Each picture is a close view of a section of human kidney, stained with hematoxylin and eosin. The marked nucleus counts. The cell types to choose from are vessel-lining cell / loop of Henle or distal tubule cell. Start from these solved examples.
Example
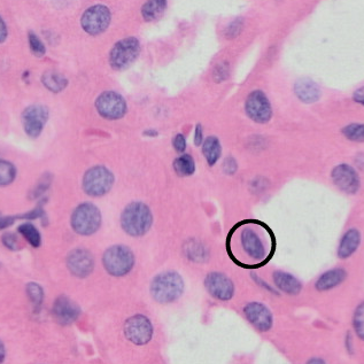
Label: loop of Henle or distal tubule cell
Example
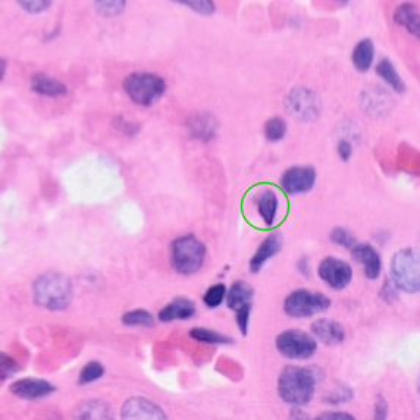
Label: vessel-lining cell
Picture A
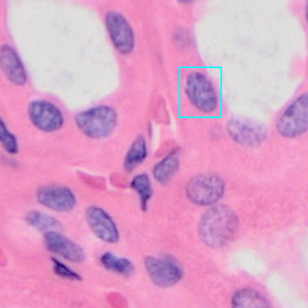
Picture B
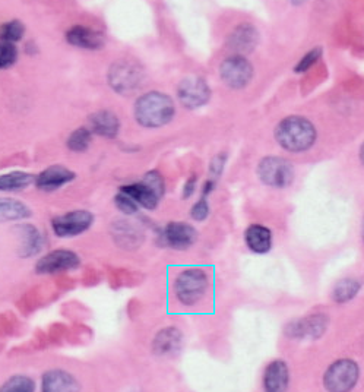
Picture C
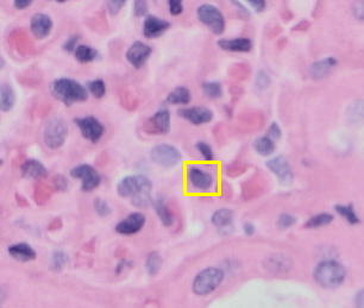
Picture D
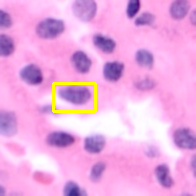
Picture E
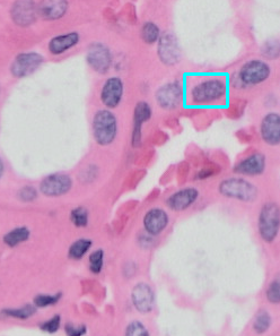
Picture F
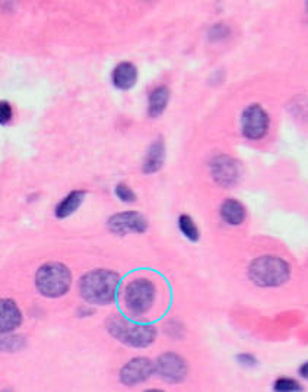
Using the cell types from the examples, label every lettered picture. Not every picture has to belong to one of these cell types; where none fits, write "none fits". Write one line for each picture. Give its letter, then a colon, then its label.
A: loop of Henle or distal tubule cell
B: loop of Henle or distal tubule cell
C: vessel-lining cell
D: loop of Henle or distal tubule cell
E: none fits
F: none fits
